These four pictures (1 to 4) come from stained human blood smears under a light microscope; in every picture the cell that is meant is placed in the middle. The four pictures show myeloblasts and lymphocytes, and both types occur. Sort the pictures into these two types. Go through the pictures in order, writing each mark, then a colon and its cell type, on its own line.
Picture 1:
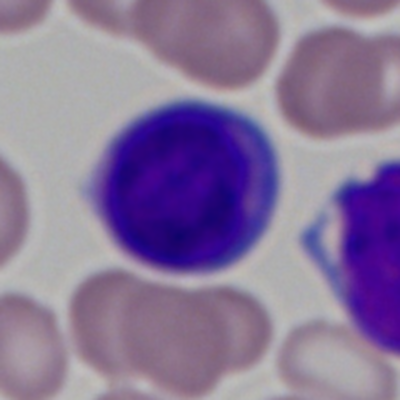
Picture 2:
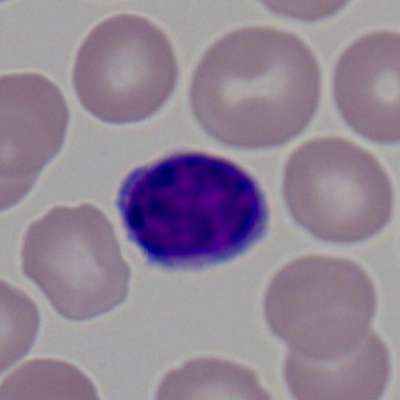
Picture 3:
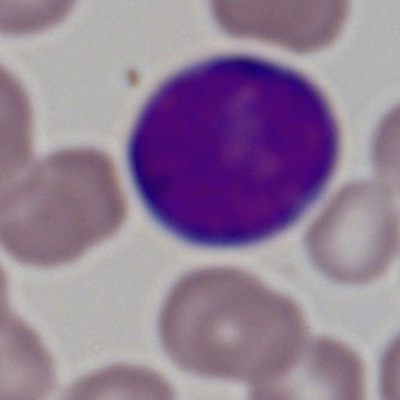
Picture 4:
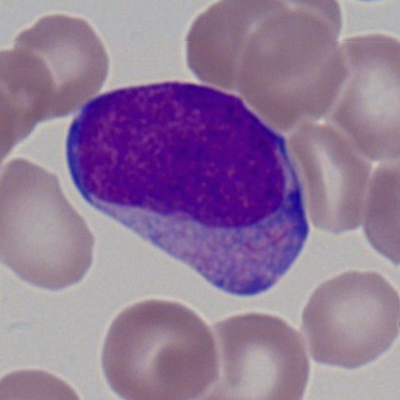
1: myeloblast
2: lymphocyte
3: myeloblast
4: myeloblast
